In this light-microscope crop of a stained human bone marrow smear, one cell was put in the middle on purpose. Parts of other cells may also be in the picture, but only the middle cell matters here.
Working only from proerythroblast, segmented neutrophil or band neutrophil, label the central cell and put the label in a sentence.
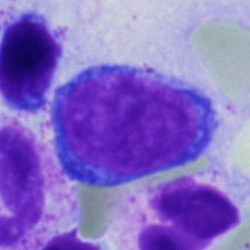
The middle of this crop is occupied by a proerythroblast.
